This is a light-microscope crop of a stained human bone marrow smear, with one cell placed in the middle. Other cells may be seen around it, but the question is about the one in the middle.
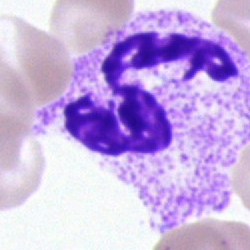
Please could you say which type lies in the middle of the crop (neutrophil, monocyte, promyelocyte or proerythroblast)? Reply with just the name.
neutrophil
